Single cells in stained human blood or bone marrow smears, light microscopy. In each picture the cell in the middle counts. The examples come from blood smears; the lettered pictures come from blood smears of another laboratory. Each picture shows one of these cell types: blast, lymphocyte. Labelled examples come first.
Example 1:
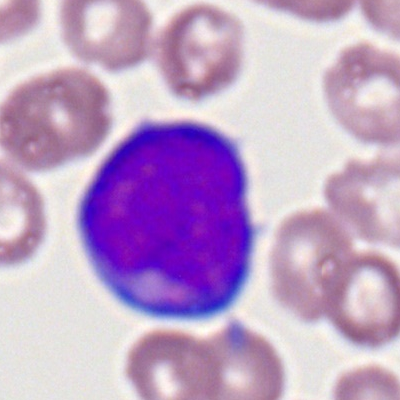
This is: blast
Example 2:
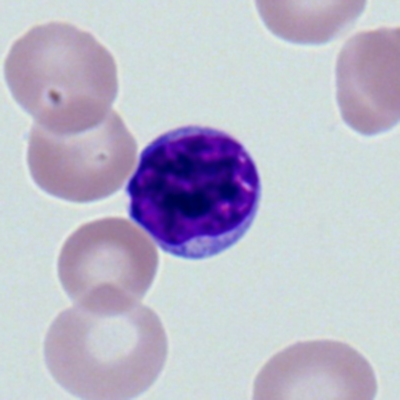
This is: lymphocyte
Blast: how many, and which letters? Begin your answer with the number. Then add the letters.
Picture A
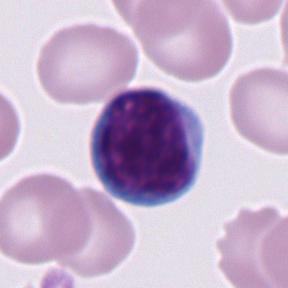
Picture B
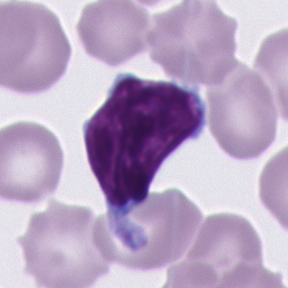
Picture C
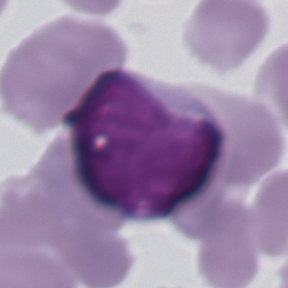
1, namely C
